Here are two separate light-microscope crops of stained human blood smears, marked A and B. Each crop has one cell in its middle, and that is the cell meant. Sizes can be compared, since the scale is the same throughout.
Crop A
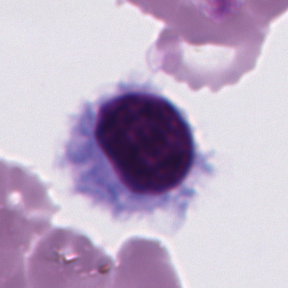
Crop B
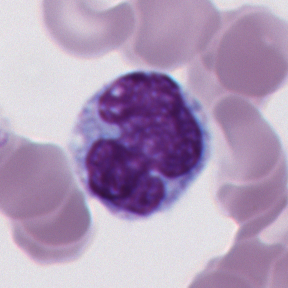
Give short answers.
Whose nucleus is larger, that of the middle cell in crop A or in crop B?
B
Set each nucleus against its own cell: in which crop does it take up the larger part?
B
